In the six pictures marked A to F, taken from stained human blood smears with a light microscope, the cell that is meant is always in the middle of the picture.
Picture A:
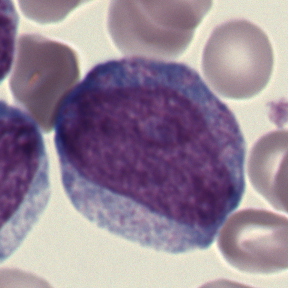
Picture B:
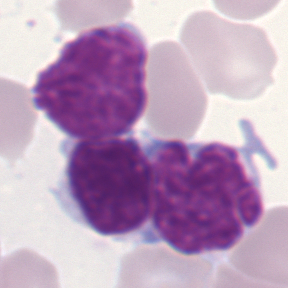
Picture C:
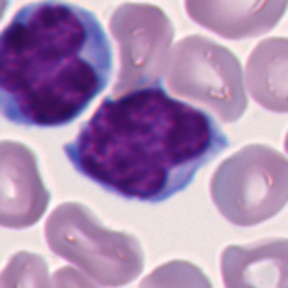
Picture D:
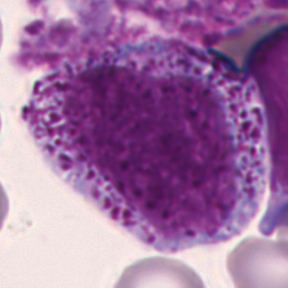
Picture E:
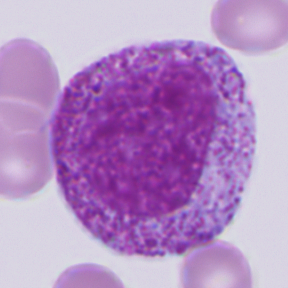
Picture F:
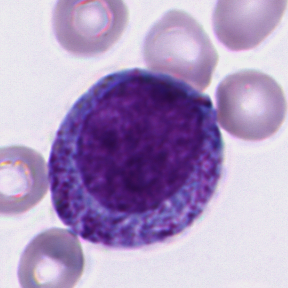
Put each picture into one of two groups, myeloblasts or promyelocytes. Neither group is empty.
A: promyelocyte
B: myeloblast
C: myeloblast
D: promyelocyte
E: promyelocyte
F: promyelocyte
